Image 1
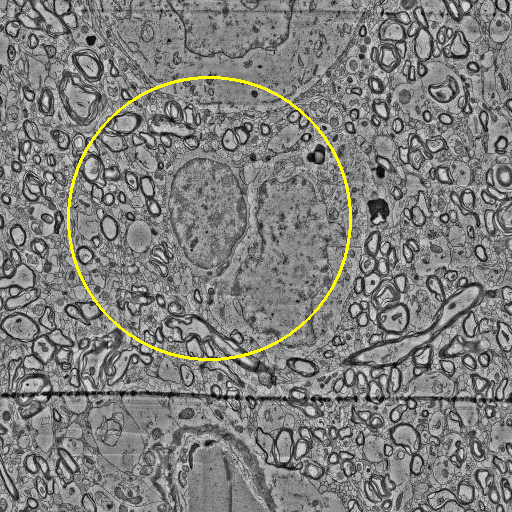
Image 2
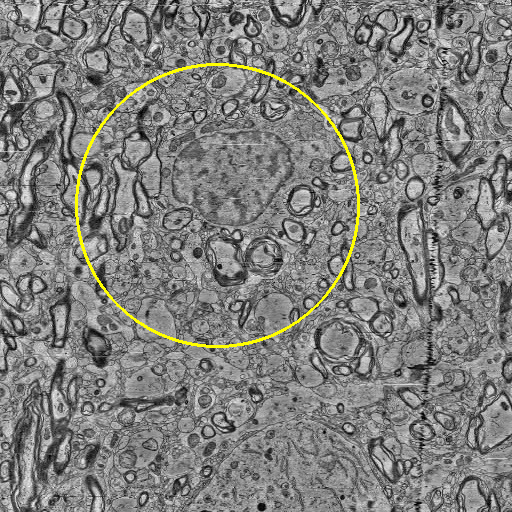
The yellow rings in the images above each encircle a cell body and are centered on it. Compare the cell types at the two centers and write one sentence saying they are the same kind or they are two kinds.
Taken together, the two cells at the ring centers are the same kind.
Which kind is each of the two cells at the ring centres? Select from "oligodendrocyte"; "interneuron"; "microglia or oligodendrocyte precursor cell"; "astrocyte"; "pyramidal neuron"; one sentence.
The cell in the first picture is an oligodendrocyte, and so is the one in the second.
